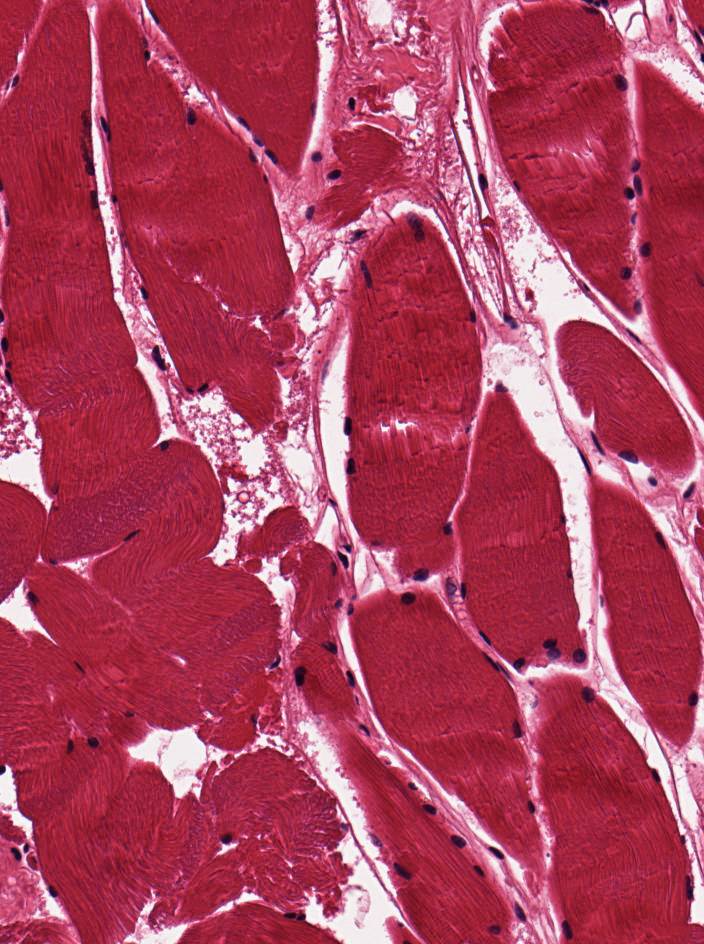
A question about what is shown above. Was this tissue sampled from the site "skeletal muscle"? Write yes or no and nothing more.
yes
